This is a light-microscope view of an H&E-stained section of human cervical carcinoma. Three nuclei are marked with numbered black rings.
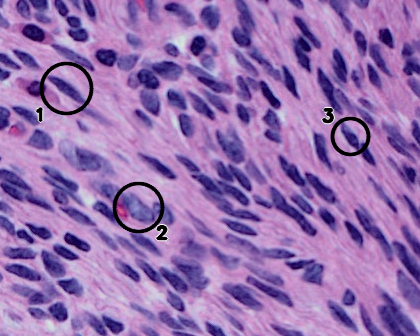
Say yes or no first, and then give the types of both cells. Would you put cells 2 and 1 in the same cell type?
No, mate, cell 2 is an endothelial cell and cell 1 is a fibroblast.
